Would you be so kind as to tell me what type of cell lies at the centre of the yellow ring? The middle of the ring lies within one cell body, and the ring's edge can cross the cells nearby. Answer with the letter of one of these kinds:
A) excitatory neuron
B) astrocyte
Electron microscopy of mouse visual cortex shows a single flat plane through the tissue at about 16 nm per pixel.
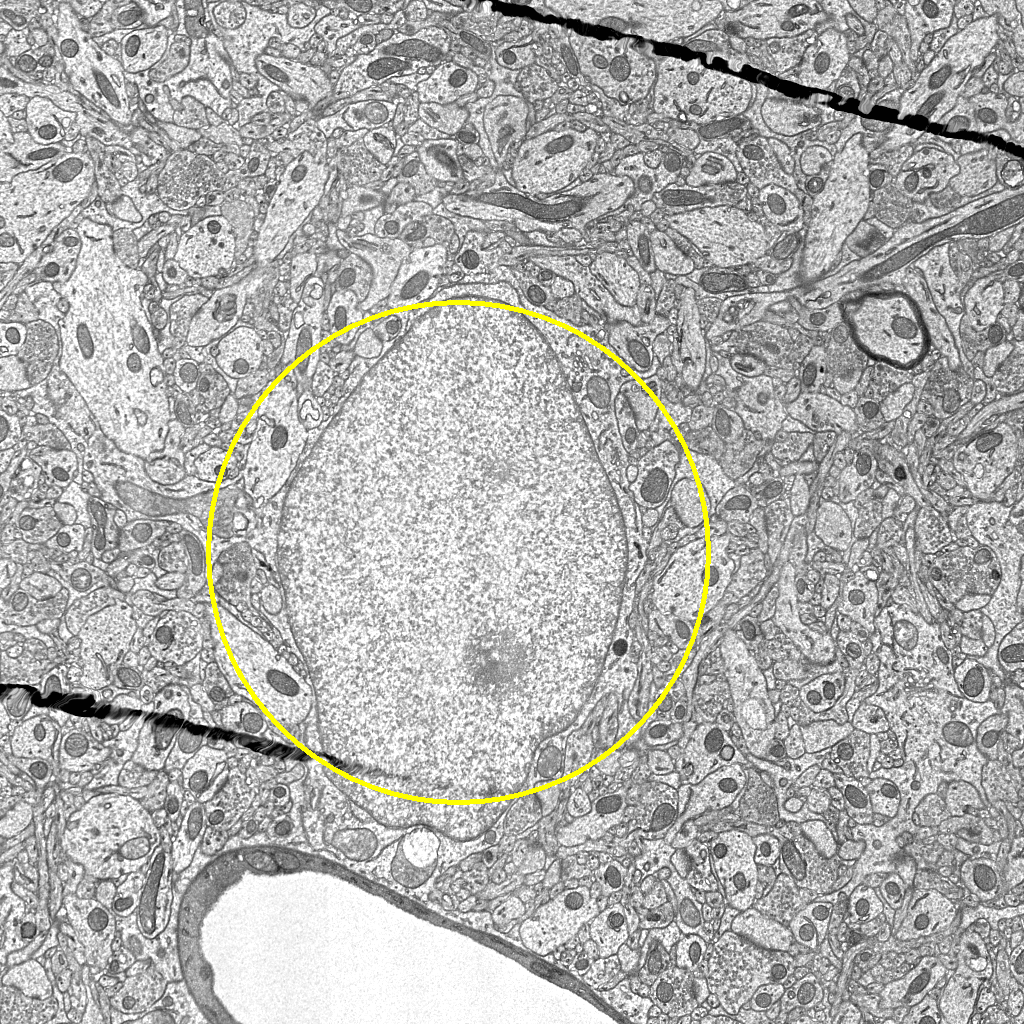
B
